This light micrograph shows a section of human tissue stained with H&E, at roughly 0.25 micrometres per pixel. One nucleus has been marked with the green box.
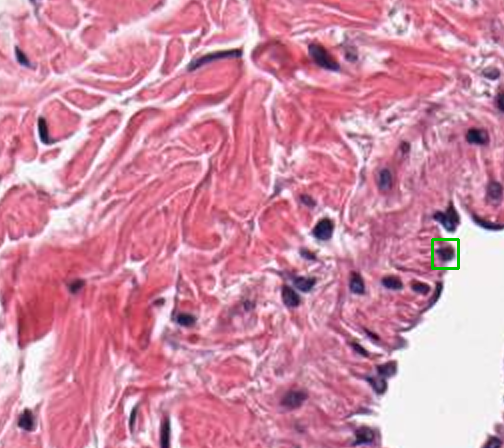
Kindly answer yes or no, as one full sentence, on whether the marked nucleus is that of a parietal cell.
No, the marked nucleus is that of a supporting cell instead of a parietal cell.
